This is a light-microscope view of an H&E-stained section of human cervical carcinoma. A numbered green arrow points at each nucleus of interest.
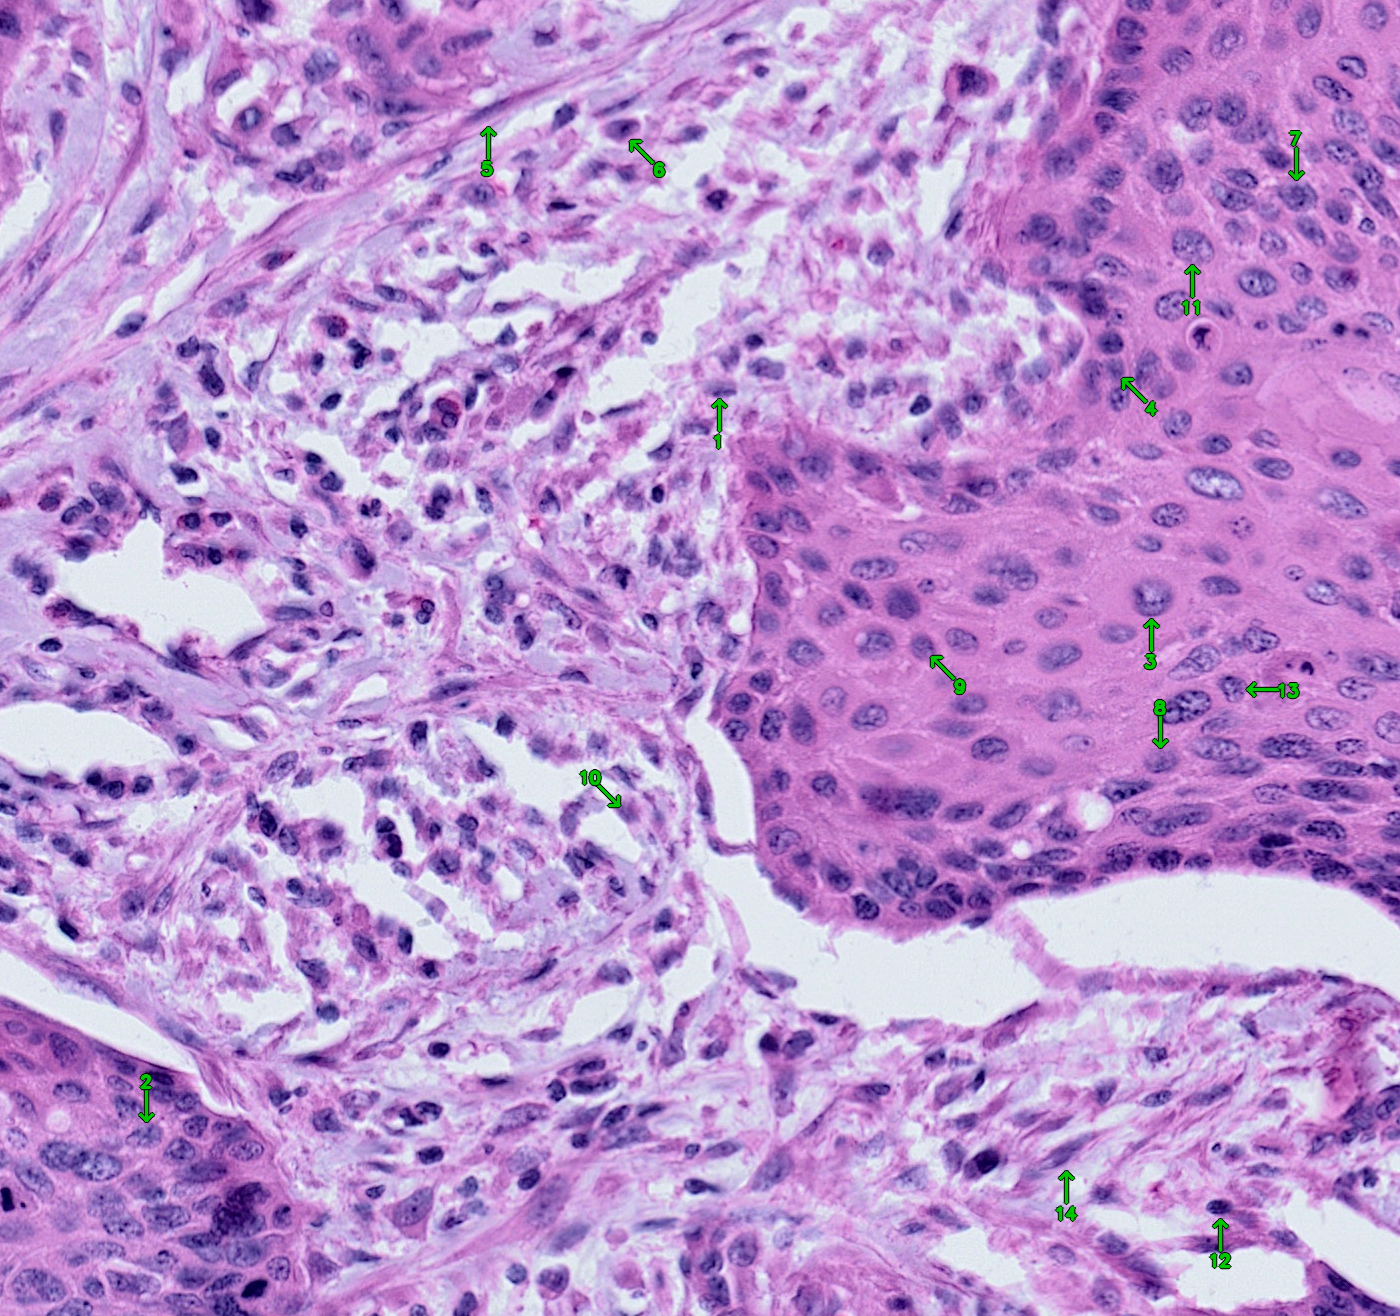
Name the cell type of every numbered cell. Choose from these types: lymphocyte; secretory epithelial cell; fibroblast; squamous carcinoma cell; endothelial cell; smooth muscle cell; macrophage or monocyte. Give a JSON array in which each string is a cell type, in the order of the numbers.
["fibroblast", "squamous carcinoma cell", "squamous carcinoma cell", "squamous carcinoma cell", "fibroblast", "macrophage or monocyte", "squamous carcinoma cell", "squamous carcinoma cell", "squamous carcinoma cell", "fibroblast", "squamous carcinoma cell", "lymphocyte", "squamous carcinoma cell", "fibroblast"]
